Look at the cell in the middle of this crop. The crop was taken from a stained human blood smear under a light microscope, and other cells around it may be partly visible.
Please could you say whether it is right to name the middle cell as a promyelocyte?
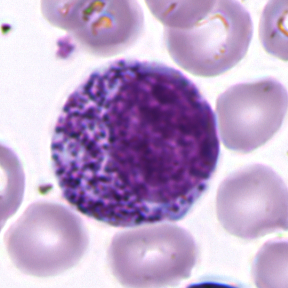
no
